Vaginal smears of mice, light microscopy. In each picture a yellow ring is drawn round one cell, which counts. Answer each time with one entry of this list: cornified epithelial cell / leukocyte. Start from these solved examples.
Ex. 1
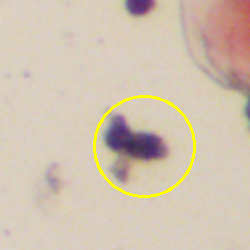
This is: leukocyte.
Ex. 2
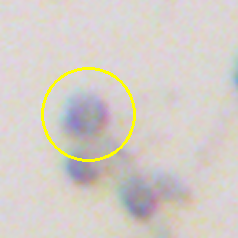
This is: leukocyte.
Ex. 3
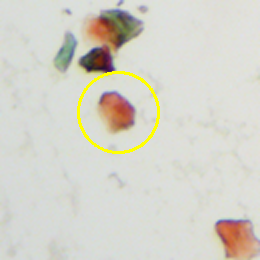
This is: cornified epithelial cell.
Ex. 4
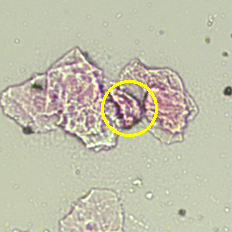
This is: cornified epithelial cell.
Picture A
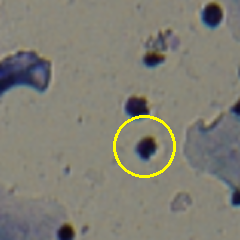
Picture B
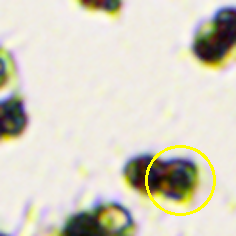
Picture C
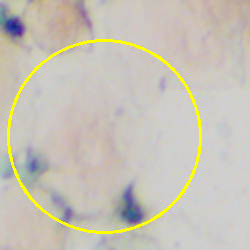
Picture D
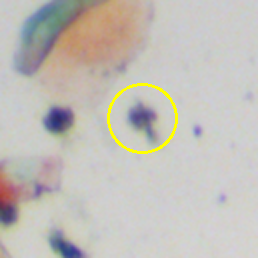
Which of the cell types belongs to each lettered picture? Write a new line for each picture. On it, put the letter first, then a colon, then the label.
A: leukocyte.
B: leukocyte.
C: cornified epithelial cell.
D: leukocyte.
